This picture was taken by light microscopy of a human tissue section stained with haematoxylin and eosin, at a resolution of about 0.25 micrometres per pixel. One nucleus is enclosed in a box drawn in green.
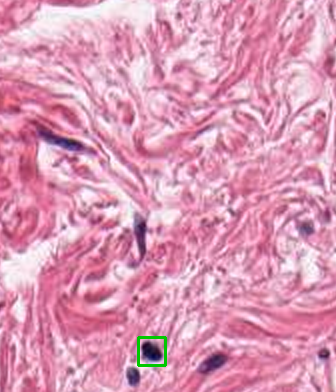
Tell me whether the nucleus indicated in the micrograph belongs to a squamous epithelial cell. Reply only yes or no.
no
